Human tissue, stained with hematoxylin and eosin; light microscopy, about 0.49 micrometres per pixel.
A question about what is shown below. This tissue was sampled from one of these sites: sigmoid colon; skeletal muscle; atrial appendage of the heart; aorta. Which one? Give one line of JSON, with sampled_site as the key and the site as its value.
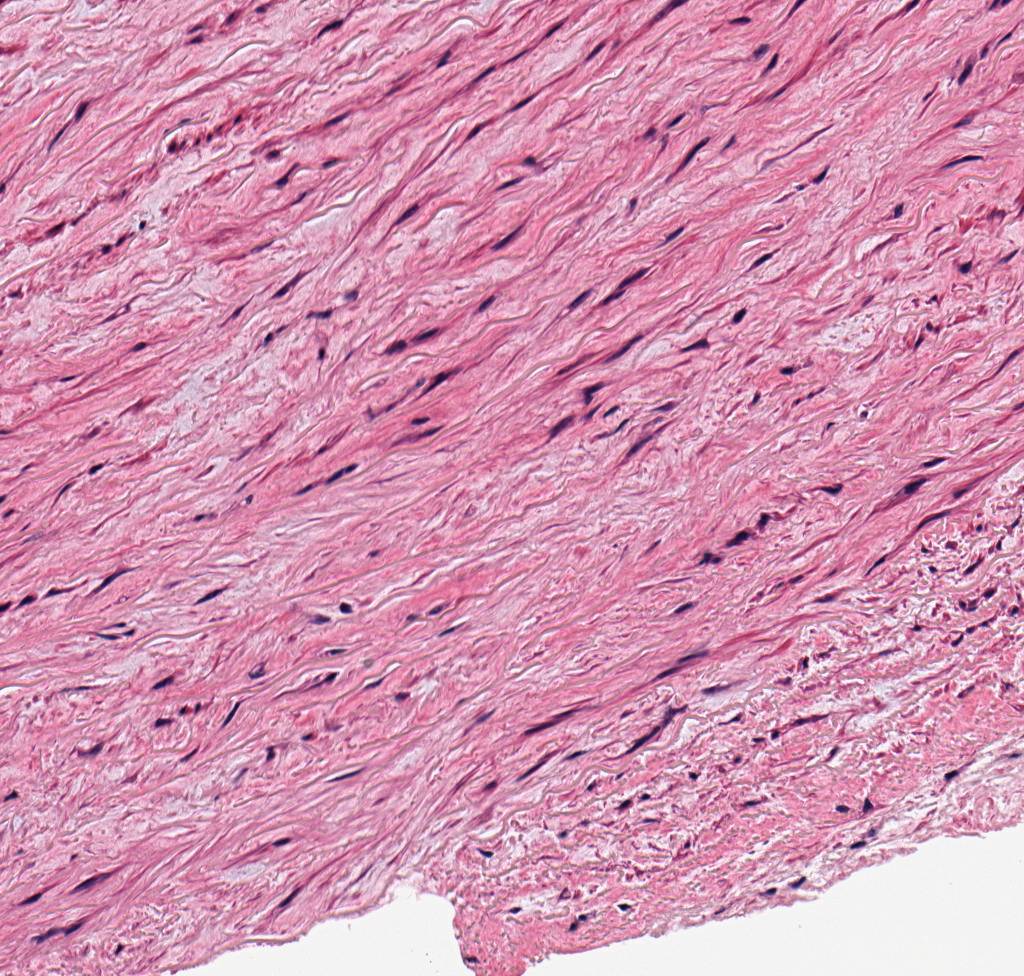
{"sampled_site": "aorta"}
